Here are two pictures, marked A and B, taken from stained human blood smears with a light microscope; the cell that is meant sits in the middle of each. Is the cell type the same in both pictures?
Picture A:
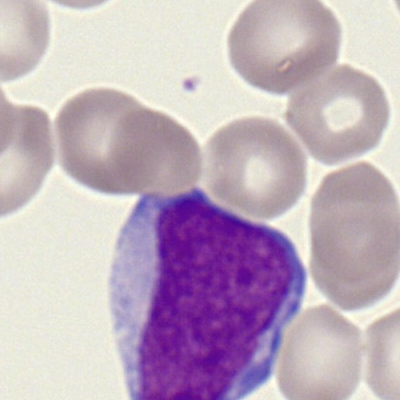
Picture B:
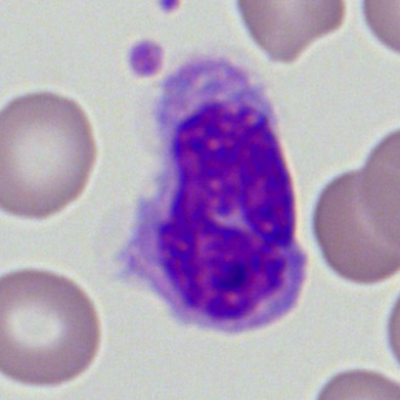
no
